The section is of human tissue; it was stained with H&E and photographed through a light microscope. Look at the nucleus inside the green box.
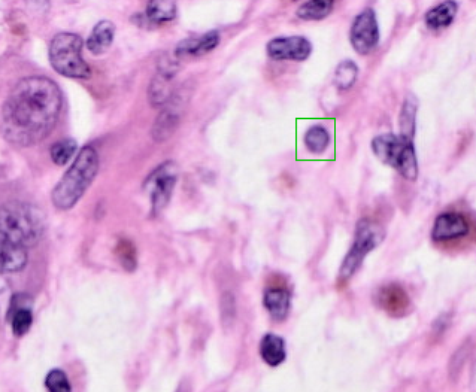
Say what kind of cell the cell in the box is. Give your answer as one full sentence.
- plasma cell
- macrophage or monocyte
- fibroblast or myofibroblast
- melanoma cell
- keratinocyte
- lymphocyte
The identity of the cell in the box: it is a lymphocyte.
